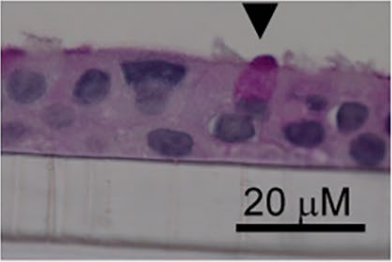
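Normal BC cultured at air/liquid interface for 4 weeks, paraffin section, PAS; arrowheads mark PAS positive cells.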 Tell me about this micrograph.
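One cell reaching the apical surface has cytoplasm filled with bright magenta material, with a darker cap at its top. The surrounding cells have pale pink cytoplasm and blue-purple round to oval nuclei at several levels. The sheet sits on a flat, pale porous support, and a few fine projections stand on the surface.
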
